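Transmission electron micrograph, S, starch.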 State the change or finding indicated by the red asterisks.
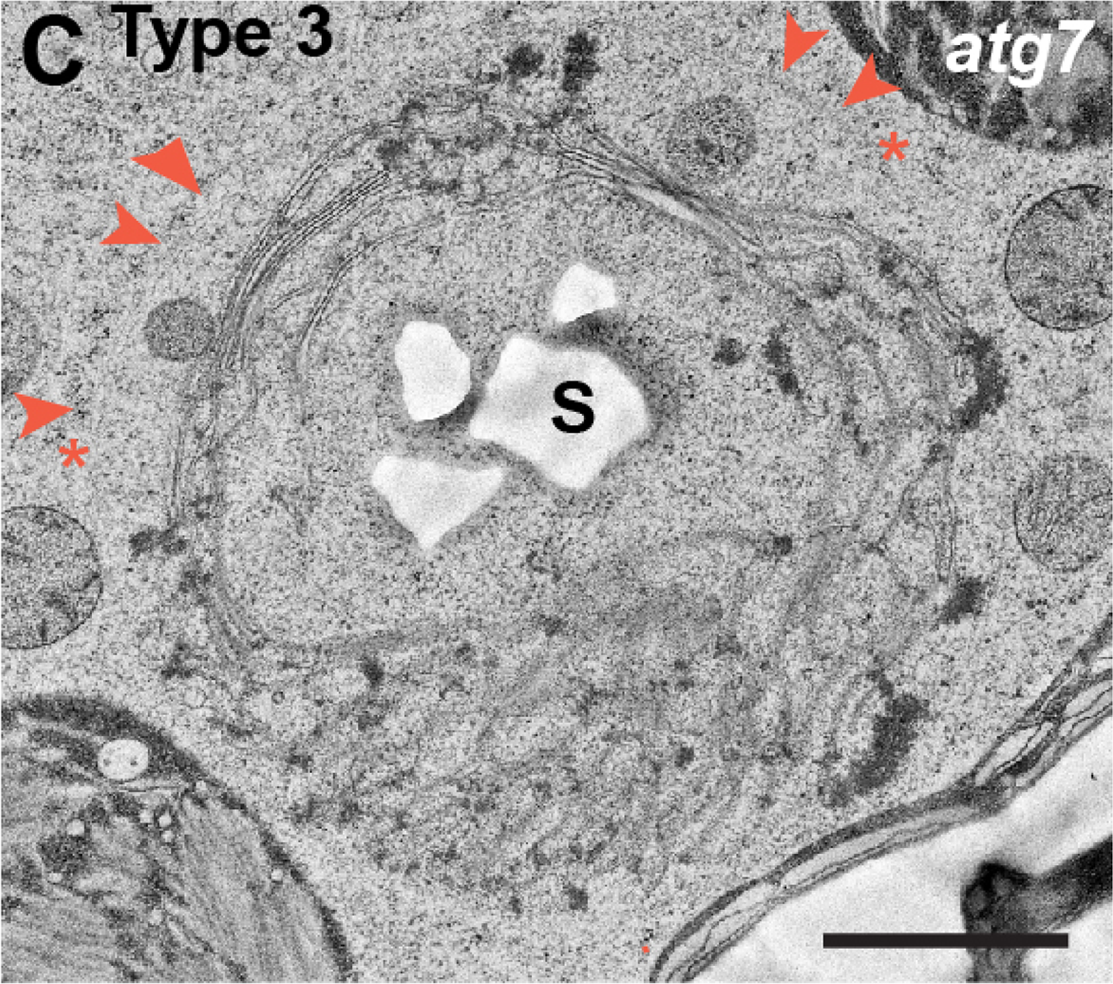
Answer: Disrupted in several sites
